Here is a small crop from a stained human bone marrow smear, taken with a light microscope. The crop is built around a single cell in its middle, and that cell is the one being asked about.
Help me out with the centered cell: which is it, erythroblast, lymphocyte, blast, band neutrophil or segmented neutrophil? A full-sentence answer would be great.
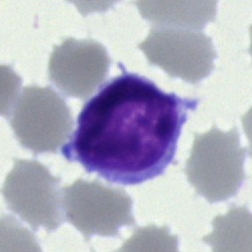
At the center of the crop sits a lymphocyte.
